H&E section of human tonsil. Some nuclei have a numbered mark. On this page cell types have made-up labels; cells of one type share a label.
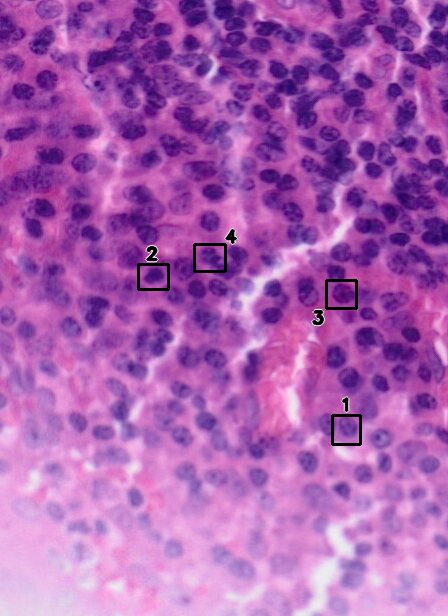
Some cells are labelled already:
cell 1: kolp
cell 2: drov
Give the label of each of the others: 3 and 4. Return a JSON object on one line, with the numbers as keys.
{"3": "kolp", "4": "kolp"}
